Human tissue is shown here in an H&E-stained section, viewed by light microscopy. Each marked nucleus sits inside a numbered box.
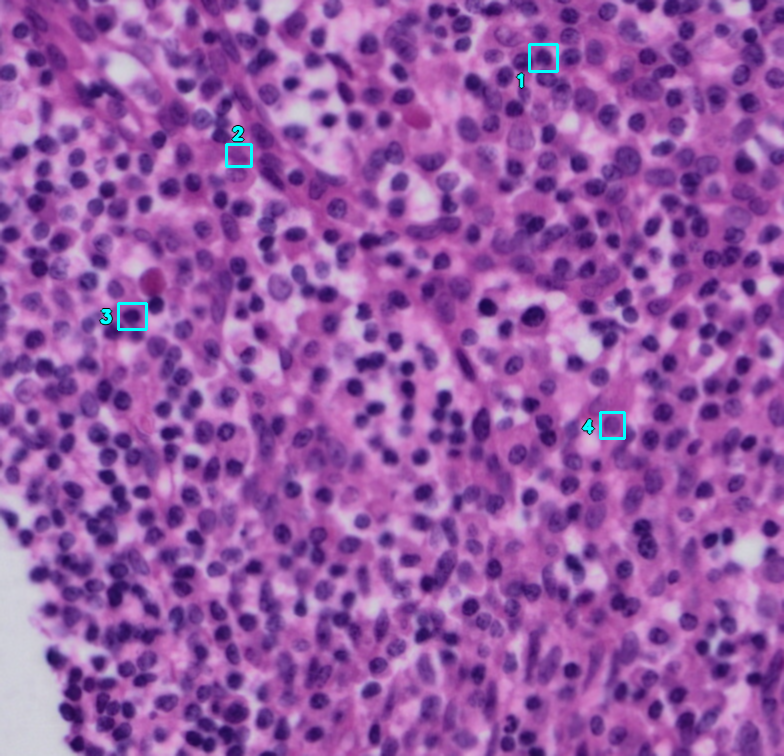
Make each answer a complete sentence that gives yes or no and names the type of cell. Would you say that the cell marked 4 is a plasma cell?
Yes, the cell at marker 4 is a plasma cell.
